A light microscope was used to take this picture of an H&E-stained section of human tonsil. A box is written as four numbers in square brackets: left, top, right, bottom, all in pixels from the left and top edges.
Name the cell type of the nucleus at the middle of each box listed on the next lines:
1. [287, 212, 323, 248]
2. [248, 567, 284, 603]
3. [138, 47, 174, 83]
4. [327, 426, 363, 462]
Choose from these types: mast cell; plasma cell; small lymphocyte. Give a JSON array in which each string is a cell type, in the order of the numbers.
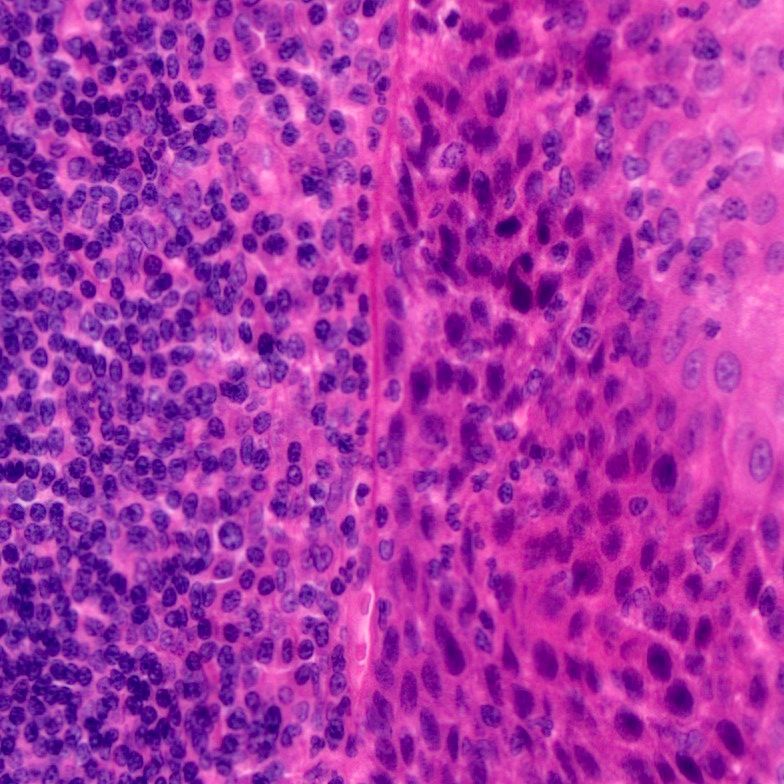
["plasma cell", "plasma cell", "small lymphocyte", "plasma cell"]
